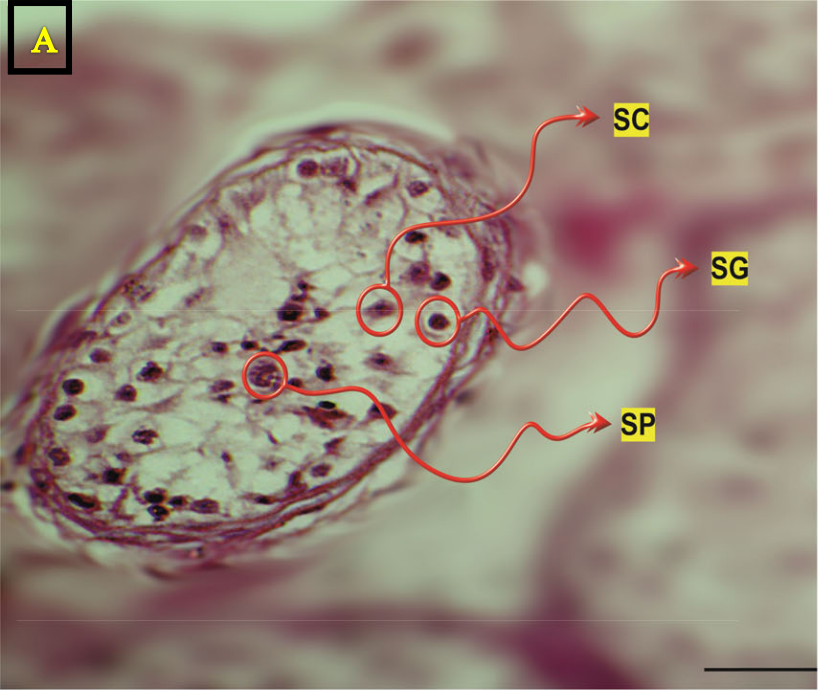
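This is a cross-section of a testicular segment, an oval tubule bounded by a layered pink-purple wall that encloses a pale, loose, vacuolated interior. Dark purple nuclei are sparsely scattered through the interior; some are round, while others are small, dense or elongated. The cells are far fewer and more widely spaced than in a densely packed tubule.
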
